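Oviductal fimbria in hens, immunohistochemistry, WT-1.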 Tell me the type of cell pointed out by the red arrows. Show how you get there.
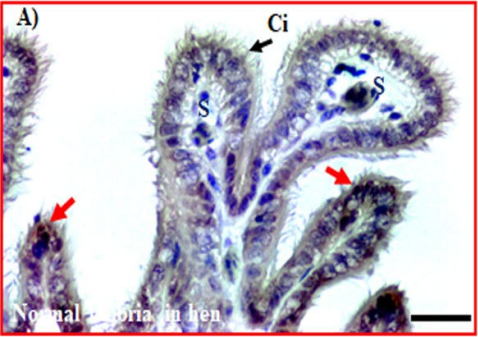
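The arrows point at the tips of slender mucosal folds. The arrowed cells lie in the lining layer at the fold surface, not in the central core. On this evidence: apical surface epithelial cells.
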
